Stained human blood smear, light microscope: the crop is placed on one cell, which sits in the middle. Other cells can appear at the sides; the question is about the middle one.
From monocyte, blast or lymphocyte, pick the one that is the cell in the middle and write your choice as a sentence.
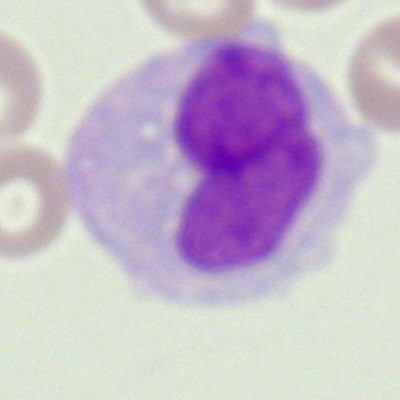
Classified as a monocyte is the cell in the middle of this crop.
